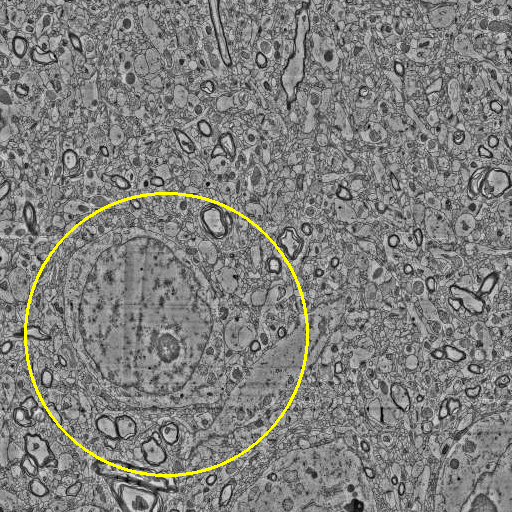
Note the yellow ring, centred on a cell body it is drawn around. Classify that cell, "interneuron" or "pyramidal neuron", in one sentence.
The cell the ring is centred on is a pyramidal neuron.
